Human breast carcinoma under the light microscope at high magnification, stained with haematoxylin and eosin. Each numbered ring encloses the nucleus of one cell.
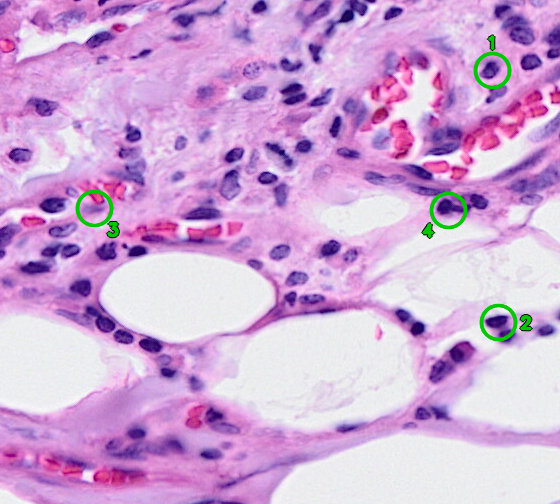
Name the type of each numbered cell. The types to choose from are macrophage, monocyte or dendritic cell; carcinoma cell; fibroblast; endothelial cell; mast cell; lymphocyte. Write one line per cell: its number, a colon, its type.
1: lymphocyte
2: lymphocyte
3: endothelial cell
4: lymphocyte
